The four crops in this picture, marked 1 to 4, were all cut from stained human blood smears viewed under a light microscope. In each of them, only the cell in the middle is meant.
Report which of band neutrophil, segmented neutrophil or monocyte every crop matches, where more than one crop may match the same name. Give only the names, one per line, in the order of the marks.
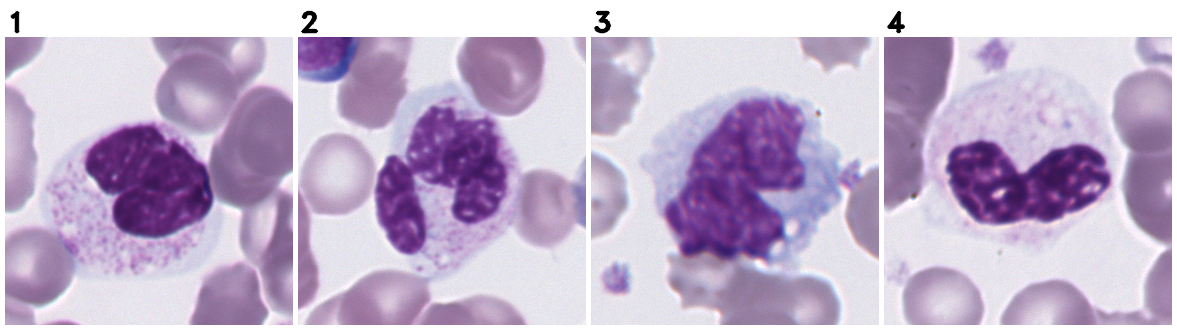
band neutrophil
segmented neutrophil
monocyte
band neutrophil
